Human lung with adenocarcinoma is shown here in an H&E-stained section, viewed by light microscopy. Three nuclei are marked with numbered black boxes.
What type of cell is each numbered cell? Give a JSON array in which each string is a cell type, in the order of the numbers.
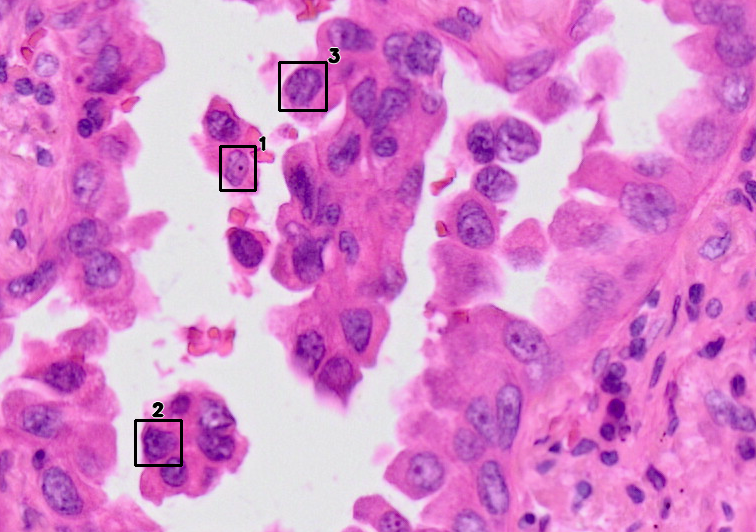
["macrophage or monocyte", "carcinoma cell", "carcinoma cell"]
